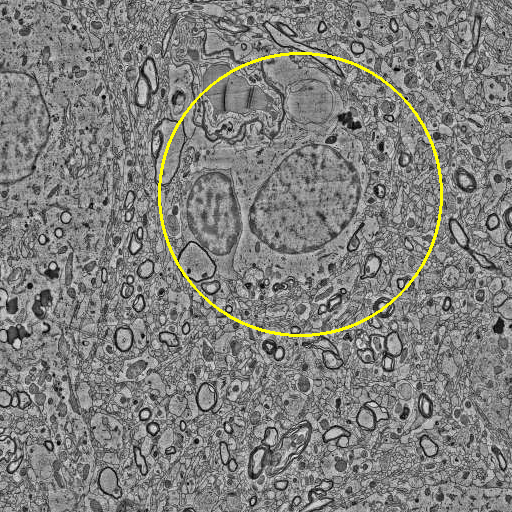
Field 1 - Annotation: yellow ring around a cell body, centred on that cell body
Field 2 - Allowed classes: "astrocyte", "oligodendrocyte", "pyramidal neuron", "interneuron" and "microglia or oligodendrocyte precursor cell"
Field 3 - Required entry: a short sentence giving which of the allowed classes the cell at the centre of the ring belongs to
The centred cell is a microglial cell or oligodendrocyte precursor cell.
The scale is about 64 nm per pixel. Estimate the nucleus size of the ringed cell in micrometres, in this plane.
In this plane, approximately 7 by 6 micrometers.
